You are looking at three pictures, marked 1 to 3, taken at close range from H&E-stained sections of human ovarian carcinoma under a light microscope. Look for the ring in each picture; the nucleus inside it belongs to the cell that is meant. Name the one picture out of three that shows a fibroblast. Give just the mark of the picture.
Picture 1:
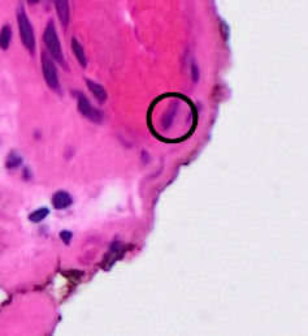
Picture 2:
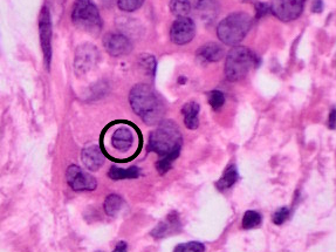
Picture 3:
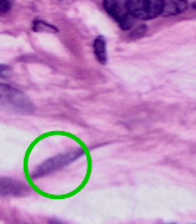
3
